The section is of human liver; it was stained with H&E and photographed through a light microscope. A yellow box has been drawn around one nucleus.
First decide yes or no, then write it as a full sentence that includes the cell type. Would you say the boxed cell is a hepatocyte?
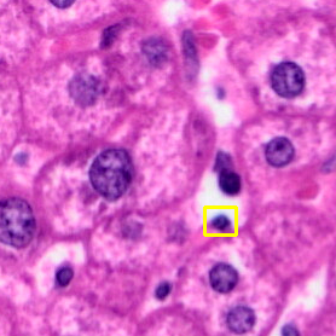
No, the boxed cell is to be classified as a lymphocyte rather than a hepatocyte.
